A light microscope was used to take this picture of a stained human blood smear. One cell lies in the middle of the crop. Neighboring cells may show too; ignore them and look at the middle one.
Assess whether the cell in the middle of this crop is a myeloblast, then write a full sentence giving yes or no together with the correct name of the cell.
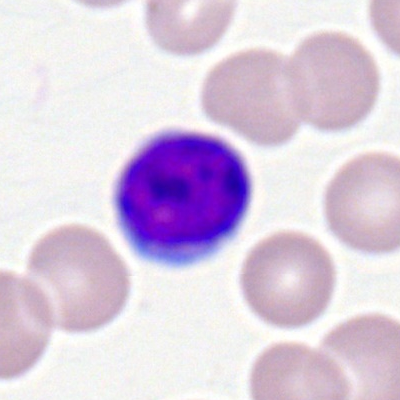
No, the cell in the middle of the field is a lymphocyte, not a myeloblast as suggested.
